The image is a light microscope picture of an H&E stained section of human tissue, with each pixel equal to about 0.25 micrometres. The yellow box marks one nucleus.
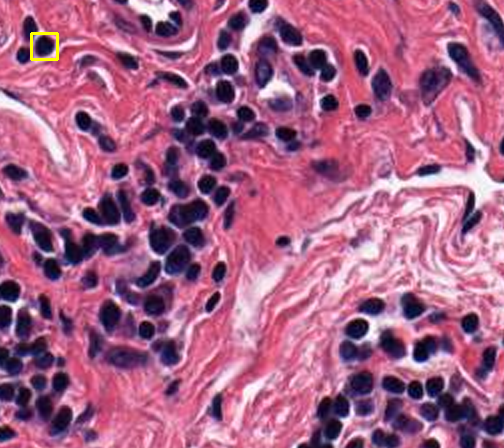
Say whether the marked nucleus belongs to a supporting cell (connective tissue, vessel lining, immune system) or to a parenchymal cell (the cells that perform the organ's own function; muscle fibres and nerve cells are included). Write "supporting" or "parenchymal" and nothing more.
supporting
